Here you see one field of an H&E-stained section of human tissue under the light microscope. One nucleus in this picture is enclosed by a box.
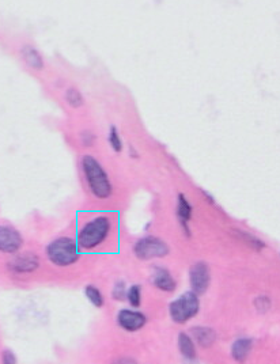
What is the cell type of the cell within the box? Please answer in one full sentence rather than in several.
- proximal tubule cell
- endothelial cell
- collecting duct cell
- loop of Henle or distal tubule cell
With respect to cell type, the cell within the box is a collecting duct cell.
